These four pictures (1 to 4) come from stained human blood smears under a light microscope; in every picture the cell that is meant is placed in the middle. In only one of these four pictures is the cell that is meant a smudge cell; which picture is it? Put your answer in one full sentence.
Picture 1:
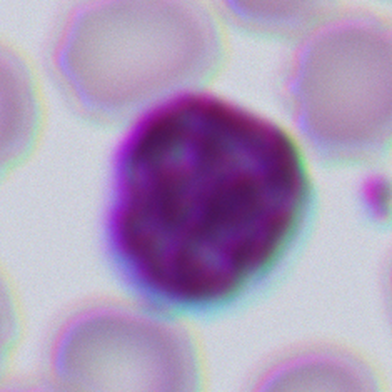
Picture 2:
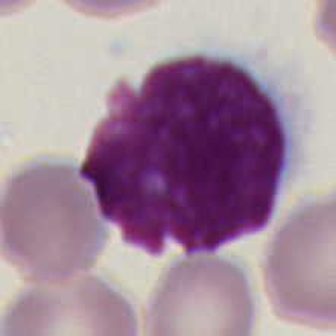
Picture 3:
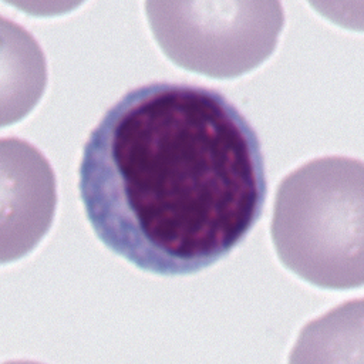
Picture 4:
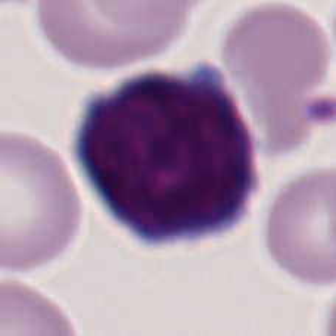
The picture with the smudge cell is 2.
